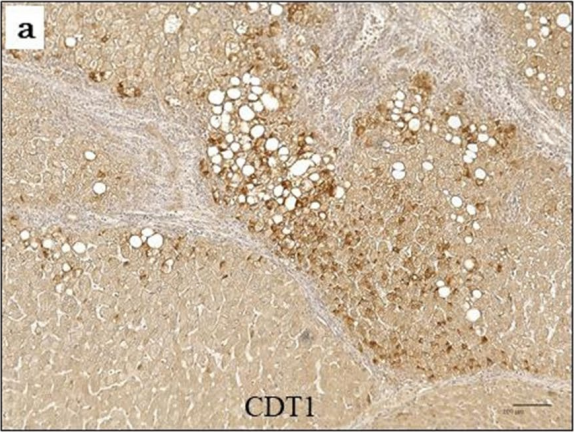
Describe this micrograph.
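This is liver tissue in which polygonal hepatocytes are arranged in plates within nodular areas separated by pale bands of fibrous tissue. Many hepatocytes contain round, clear vacuoles of varying size, most numerous in a central vacuolated area. A stronger brown stain is concentrated in the hepatocytes of one nodule next to this vacuolated area, while the surrounding hepatocytes are only faintly tan.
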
